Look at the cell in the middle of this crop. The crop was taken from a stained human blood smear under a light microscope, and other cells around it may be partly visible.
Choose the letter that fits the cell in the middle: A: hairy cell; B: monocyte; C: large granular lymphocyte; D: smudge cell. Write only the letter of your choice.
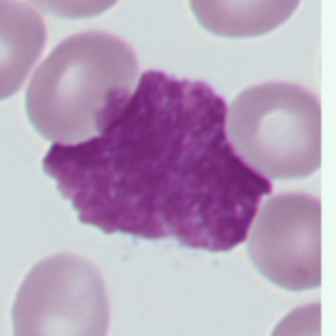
D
